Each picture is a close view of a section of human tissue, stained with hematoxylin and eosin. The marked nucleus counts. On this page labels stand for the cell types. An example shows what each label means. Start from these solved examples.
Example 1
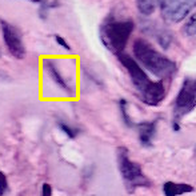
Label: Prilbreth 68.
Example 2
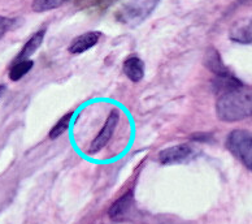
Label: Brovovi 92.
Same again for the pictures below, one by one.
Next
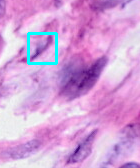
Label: Prilbreth 68.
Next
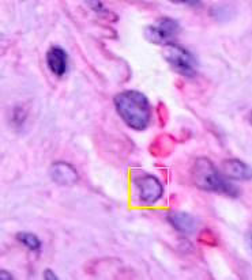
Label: Brovovi 92.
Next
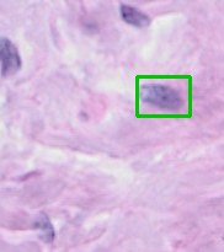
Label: Prilbreth 68.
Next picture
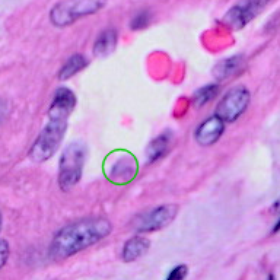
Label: Brovovi 92.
